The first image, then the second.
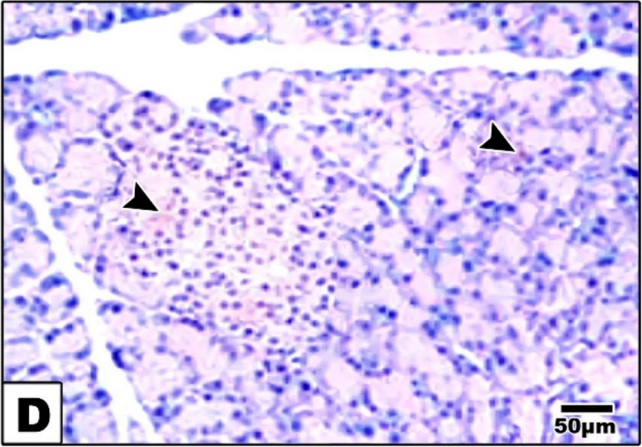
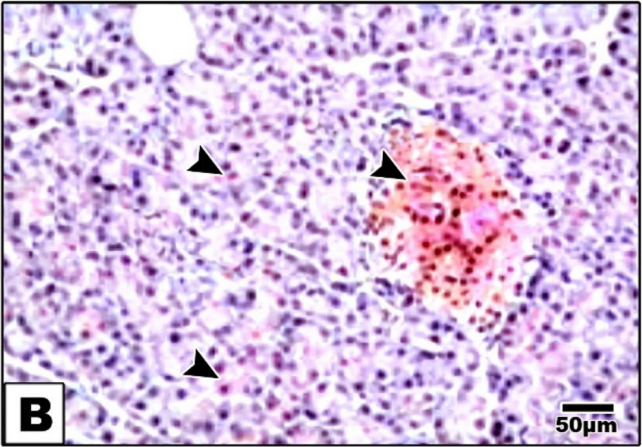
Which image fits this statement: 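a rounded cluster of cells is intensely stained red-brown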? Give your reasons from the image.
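First image: the cell cluster and glandular tissue are pale lilac and pink with almost no brown colour. Second image: a rounded cluster right of centre is strongly red-brown against the surrounding tissue.
Hence: the second image.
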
